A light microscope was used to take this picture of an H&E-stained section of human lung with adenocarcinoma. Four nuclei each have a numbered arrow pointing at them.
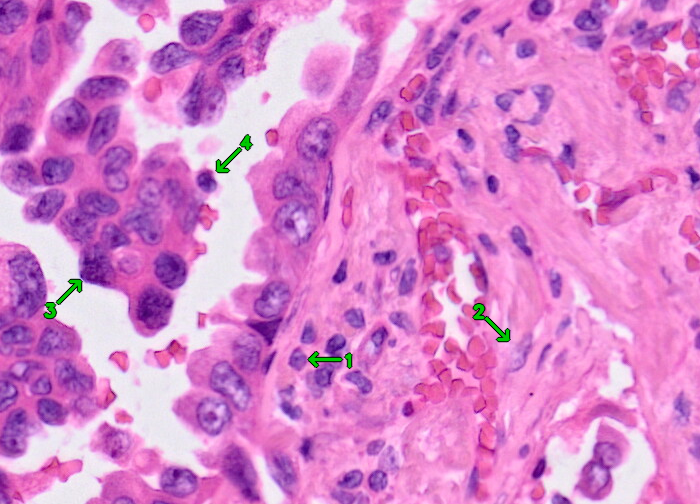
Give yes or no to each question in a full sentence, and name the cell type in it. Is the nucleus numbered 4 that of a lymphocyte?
Yes, the cell whose number is 4 is a lymphocyte.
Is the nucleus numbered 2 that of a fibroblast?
Yes, the cell identified by number 2 is a fibroblast.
